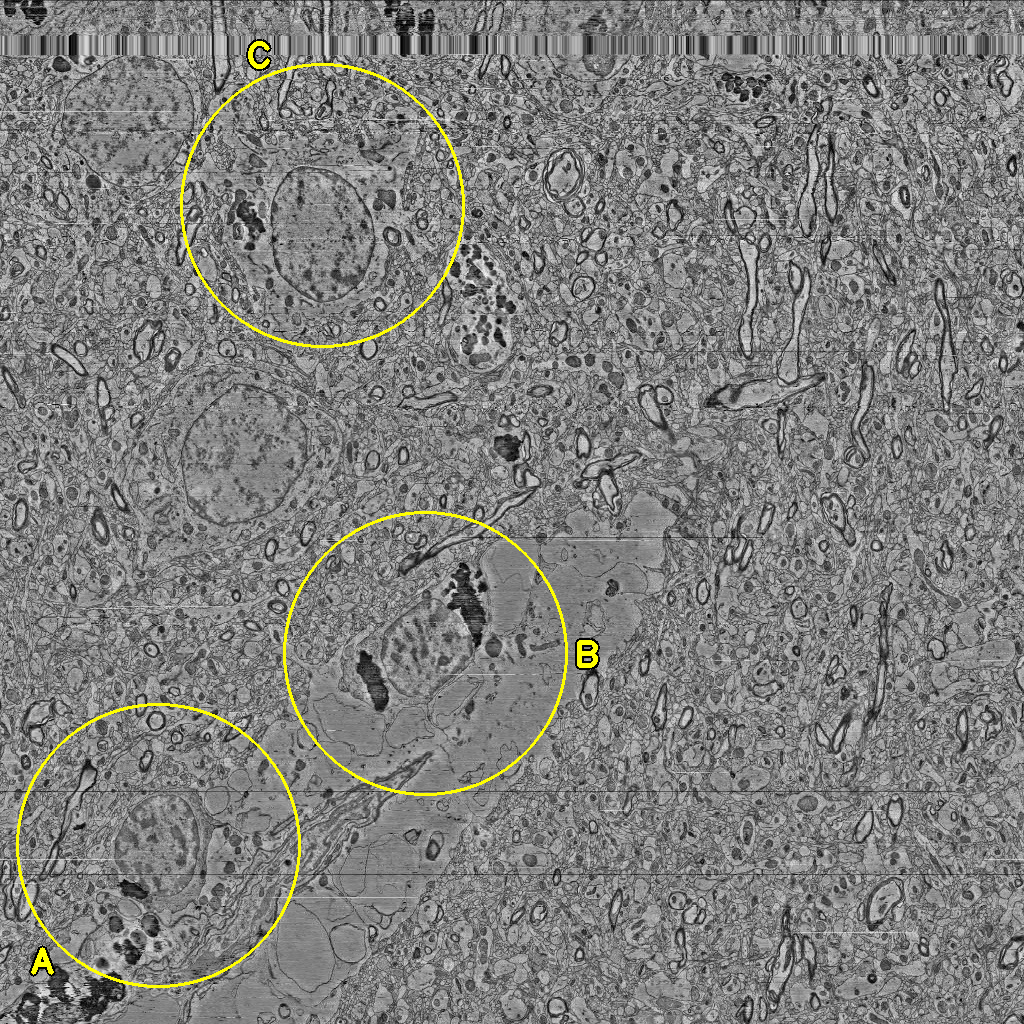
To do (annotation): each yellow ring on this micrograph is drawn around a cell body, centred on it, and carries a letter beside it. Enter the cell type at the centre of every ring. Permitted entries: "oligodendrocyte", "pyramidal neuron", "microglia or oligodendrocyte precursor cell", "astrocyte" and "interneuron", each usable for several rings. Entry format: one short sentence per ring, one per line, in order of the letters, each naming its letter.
Ring A: the cell at its centre is an oligodendrocyte.
Ring B: the cell at its centre is an oligodendrocyte.
Ring C: the cell at its centre is an astrocyte.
